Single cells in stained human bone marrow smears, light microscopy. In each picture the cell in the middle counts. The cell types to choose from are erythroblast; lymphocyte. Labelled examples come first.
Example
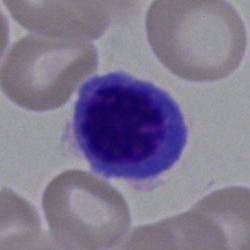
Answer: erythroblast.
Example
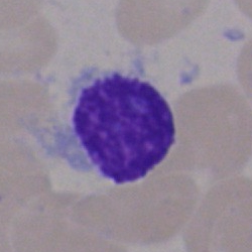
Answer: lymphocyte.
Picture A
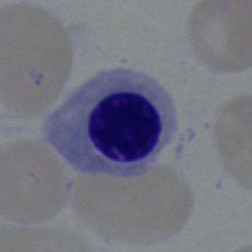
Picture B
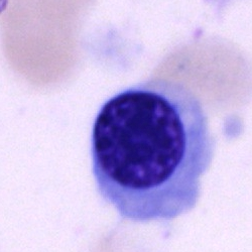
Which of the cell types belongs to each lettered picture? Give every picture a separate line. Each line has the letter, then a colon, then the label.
A: erythroblast.
B: erythroblast.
